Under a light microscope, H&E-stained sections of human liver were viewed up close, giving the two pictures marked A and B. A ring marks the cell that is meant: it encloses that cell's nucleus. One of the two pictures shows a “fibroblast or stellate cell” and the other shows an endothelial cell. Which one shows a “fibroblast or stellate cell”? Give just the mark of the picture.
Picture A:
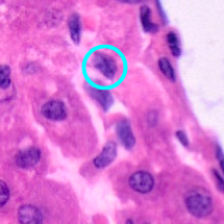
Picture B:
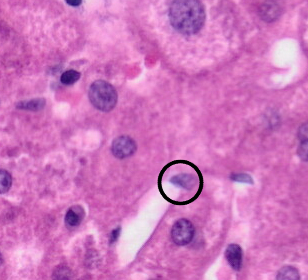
A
